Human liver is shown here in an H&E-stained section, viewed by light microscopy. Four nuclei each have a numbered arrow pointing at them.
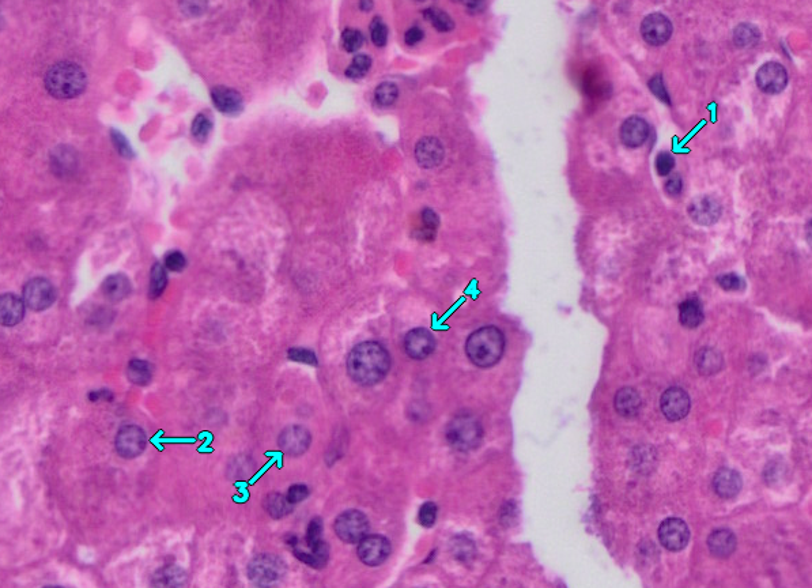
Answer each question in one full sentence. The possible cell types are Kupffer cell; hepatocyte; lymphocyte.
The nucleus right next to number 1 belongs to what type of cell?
The nucleus nearest to number 1 is that of a Kupffer cell.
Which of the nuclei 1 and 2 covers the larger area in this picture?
Of the two, number 2 is bigger and takes up about 2 times the area of number 1.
